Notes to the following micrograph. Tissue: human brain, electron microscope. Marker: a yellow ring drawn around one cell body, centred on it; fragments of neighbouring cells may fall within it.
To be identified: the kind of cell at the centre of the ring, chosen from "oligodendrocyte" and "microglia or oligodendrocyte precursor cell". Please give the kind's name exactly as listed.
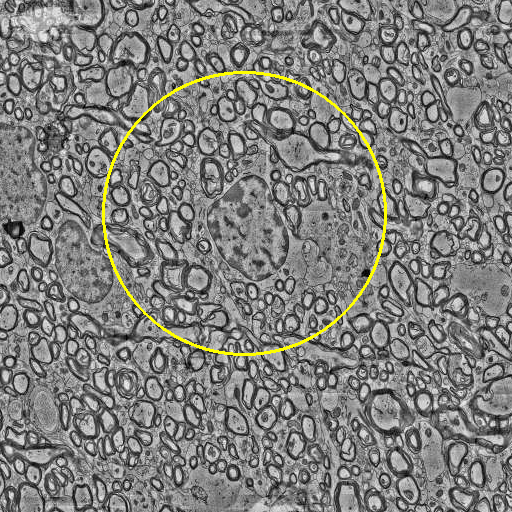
microglia or oligodendrocyte precursor cell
